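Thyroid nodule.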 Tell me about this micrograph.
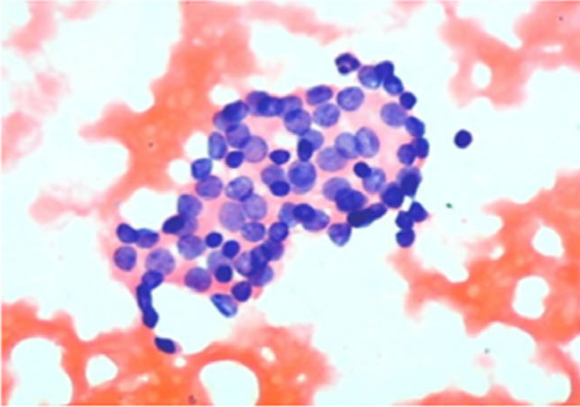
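The nuclei are round to oval and stain dark blue-purple, some paler with finer chromatin and others dense and hyperchromatic; they differ mildly in size and a few have irregular outlines. Cytoplasm is scant and pale. The cells form a flat, crowded group rather than papillary structures, and one isolated cell lies apart to the right of the cluster.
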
